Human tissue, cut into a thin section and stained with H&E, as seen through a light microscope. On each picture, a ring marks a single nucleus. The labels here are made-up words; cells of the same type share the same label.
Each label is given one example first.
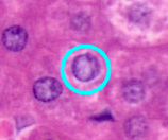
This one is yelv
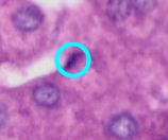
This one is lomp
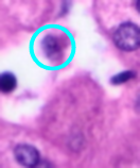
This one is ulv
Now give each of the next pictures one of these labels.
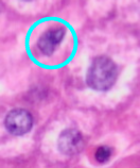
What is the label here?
ulv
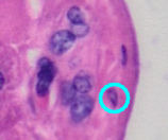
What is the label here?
lomp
